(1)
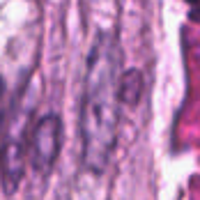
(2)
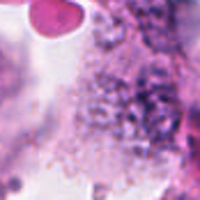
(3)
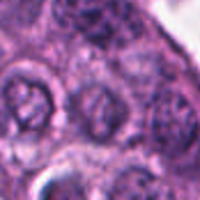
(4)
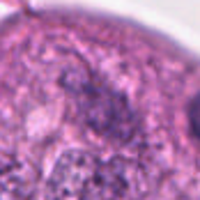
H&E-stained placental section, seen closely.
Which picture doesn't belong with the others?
Picture 1.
